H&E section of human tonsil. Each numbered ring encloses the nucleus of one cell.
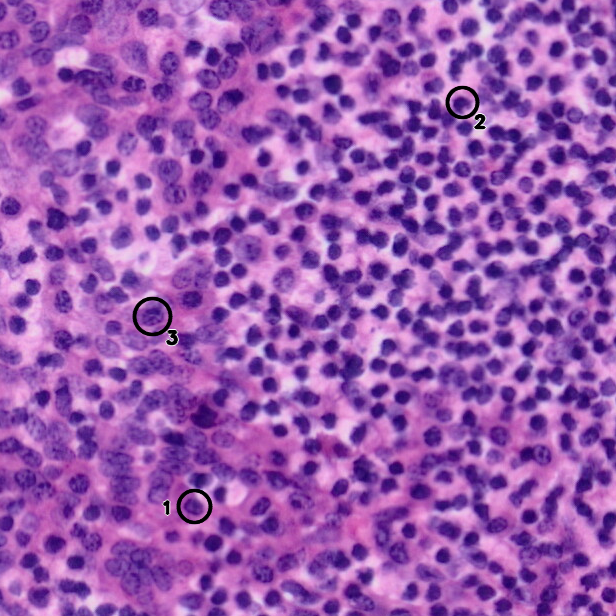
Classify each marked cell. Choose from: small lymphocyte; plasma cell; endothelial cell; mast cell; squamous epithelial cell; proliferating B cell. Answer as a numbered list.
1. plasma cell
2. small lymphocyte
3. plasma cell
